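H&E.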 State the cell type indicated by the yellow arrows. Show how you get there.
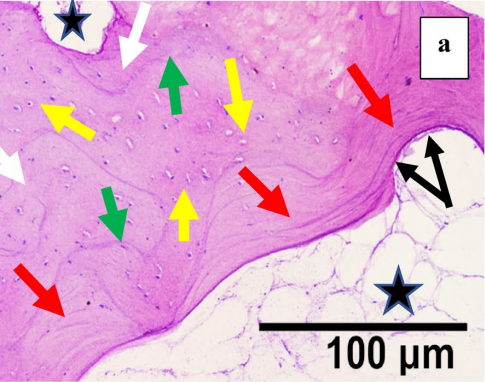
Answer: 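Small cells sit singly in lacunae within the pink bone matrix. The cells are scattered through the matrix without order.
Hence: osteocytes.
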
